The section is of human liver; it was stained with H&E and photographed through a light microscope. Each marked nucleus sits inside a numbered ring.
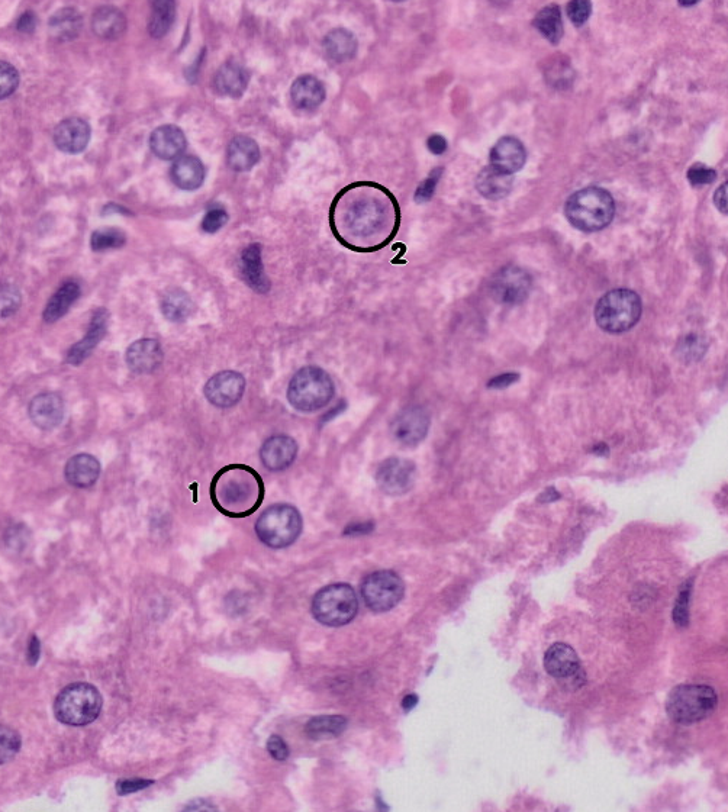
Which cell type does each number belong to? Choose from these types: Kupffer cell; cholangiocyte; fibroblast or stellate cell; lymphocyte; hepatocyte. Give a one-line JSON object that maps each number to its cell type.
{"1": "fibroblast or stellate cell", "2": "hepatocyte"}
